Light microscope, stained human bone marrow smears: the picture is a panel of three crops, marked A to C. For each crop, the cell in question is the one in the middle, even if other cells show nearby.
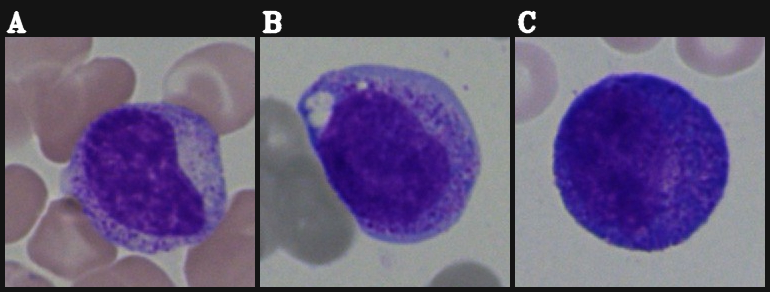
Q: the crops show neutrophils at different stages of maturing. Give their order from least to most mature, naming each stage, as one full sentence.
Ordering the crops by maturity, least first, gives crop C (a promyelocyte), crop B (a myelocyte) and crop A (a metamyelocyte).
